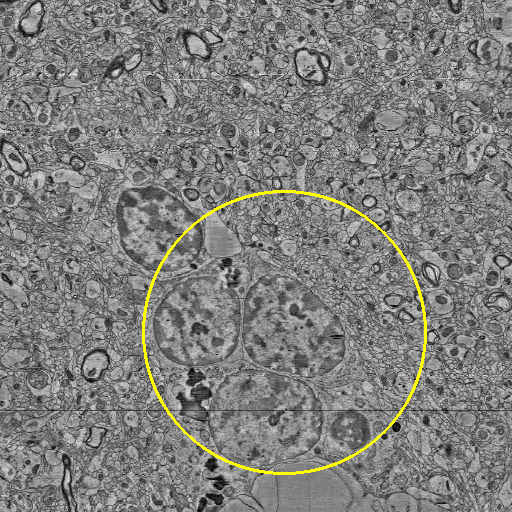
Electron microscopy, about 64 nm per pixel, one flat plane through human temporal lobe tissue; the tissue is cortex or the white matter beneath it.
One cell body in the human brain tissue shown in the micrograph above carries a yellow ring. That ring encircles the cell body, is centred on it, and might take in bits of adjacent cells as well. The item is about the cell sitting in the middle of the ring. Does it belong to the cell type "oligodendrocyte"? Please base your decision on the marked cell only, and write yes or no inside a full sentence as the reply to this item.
Yes, the cell at the middle of the ring in the micrograph is of this kind.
